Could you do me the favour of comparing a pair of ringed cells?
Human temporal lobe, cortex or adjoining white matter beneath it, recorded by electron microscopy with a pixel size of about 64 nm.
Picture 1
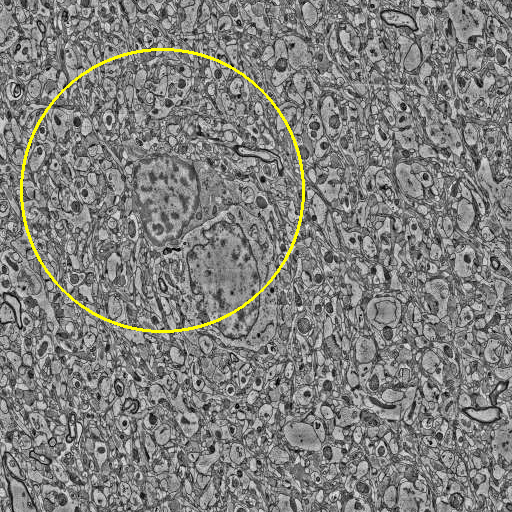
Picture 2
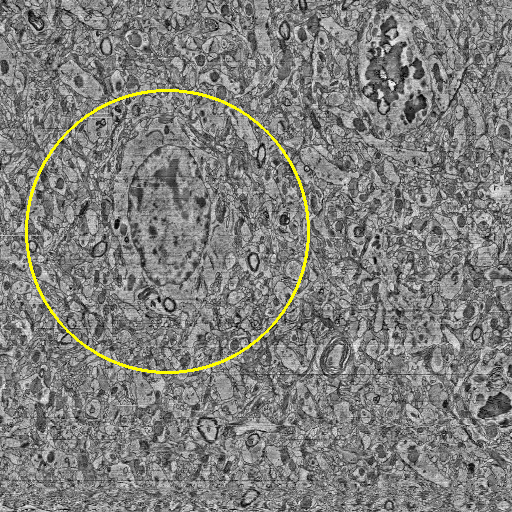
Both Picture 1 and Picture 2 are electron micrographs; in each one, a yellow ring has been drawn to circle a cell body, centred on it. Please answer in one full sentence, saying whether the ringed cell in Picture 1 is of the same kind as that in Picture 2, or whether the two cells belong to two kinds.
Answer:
The ringed cells in Picture 1 and Picture 2 belong to two kinds.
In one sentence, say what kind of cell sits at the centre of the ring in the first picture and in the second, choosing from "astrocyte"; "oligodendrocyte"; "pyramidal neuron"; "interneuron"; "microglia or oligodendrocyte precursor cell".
The first picture's ringed cell is an oligodendrocyte, while the second picture's is an astrocyte.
